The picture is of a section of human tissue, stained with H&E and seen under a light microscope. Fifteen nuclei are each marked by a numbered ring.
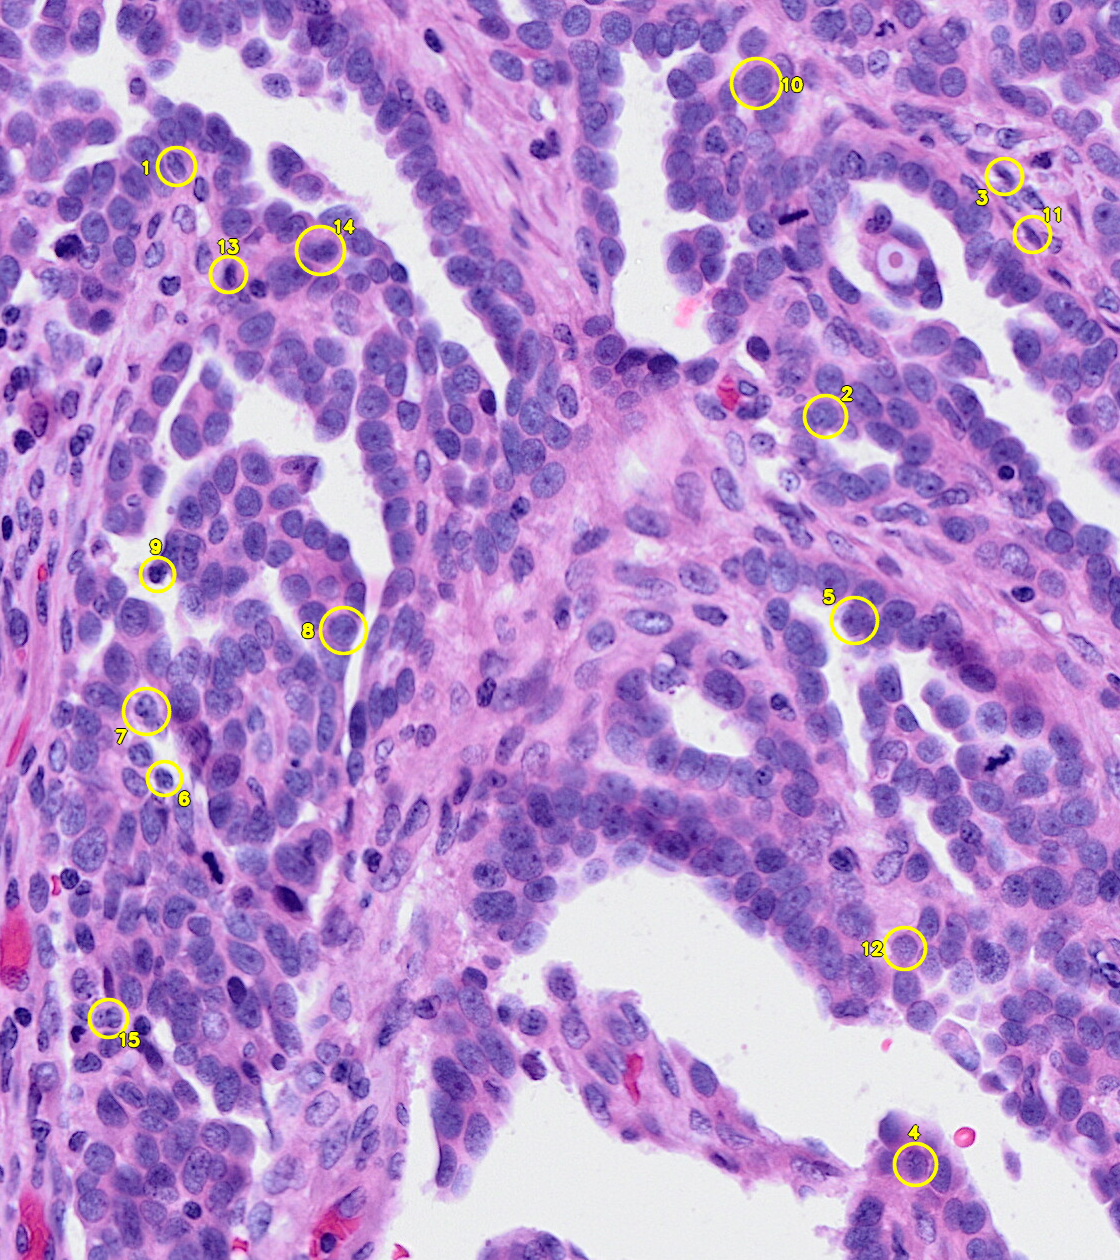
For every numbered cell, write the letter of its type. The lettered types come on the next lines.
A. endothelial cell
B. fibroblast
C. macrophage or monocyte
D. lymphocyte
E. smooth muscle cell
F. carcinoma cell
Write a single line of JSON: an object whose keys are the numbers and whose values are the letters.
{"1": "C", "2": "F", "3": "B", "4": "F", "5": "F", "6": "D", "7": "C", "8": "F", "9": "D", "10": "F", "11": "B", "12": "F", "13": "D", "14": "F", "15": "C"}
